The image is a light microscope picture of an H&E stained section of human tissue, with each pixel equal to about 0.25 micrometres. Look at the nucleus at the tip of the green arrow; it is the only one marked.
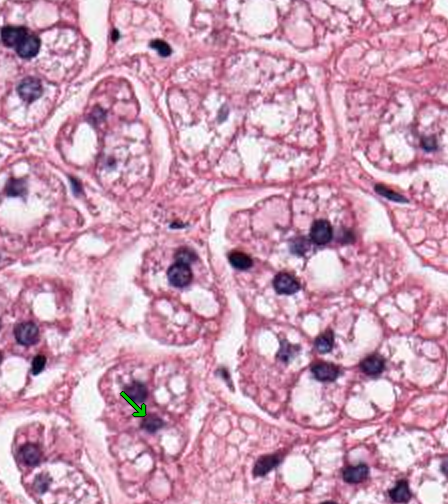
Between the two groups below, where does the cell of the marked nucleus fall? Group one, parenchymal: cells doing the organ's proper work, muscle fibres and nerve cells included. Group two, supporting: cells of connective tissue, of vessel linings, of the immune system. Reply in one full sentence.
Here the marked nucleus belongs to a parenchymal cell, that is, an adrenal cortical cell.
